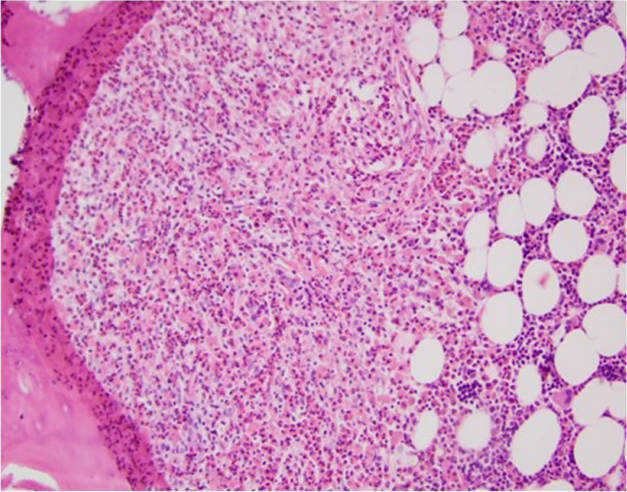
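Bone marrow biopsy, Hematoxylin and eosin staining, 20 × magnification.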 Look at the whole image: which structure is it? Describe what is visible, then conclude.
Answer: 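The nodule's cells have pale cytoplasm and many are spindle-shaped. Fat-rich marrow with round empty spaces lies to the right of the nodule.
Hence: mast cell aggregate.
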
